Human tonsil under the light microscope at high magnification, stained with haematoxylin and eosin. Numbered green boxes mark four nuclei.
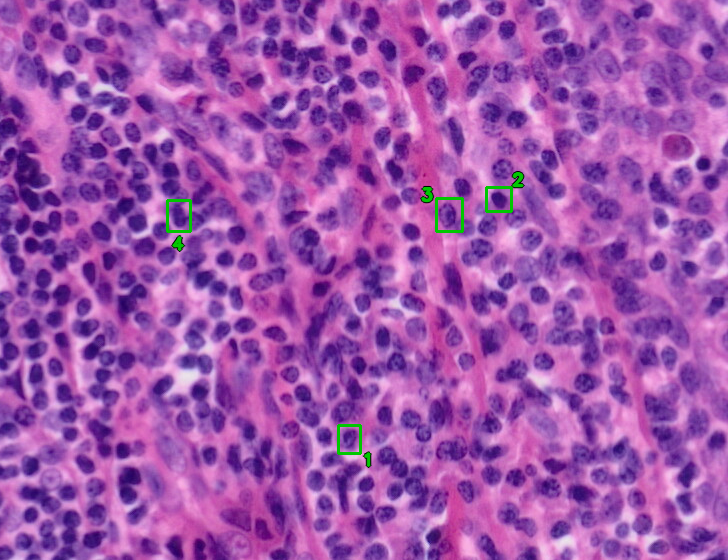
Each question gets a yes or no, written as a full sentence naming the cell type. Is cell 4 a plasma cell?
No, the cell under number 4 is a small lymphocyte instead of a plasma cell.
